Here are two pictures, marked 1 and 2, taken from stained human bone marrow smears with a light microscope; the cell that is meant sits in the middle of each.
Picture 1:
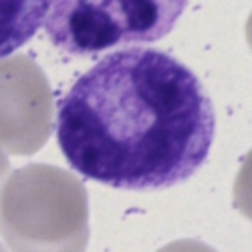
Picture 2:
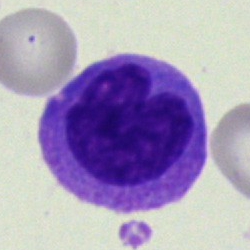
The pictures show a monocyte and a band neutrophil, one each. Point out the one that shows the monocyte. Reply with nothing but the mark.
2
